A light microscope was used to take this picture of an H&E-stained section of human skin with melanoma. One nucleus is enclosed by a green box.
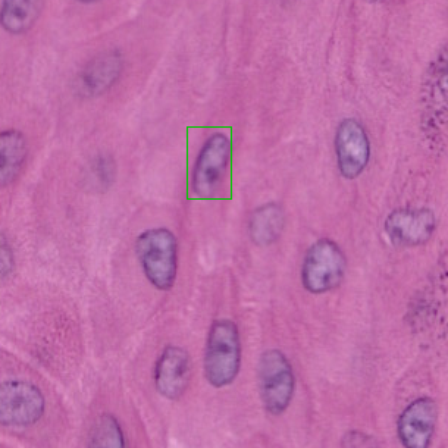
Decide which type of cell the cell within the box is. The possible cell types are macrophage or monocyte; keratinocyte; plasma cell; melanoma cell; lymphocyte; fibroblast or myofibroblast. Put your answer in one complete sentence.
Microscopically, the cell within the box is categorized as a keratinocyte.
